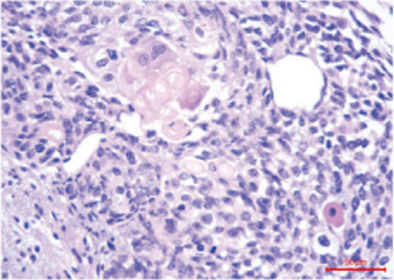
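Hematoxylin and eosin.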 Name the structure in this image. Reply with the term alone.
Keratinized carcinoma nests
